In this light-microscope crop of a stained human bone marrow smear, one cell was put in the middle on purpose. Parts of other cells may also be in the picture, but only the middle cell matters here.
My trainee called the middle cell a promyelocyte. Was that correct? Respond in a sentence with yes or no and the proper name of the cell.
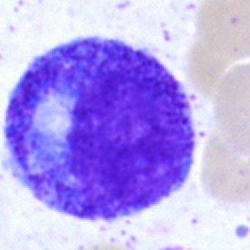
Yes, in the centre of this field sits a promyelocyte.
